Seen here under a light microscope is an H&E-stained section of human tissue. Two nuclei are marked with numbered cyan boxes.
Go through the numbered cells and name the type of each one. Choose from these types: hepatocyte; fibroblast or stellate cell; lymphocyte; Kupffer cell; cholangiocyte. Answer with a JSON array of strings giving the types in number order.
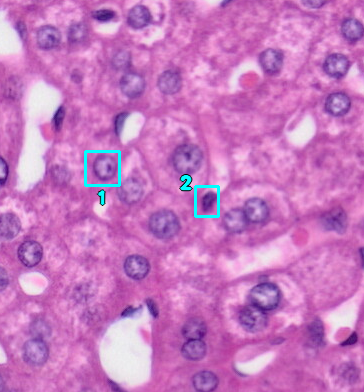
["hepatocyte", "fibroblast or stellate cell"]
